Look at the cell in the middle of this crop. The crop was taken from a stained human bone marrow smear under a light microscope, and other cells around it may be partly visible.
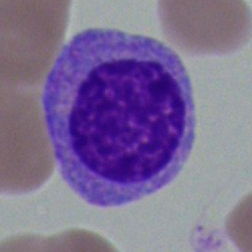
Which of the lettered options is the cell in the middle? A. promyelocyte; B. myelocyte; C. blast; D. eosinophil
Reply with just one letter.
B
